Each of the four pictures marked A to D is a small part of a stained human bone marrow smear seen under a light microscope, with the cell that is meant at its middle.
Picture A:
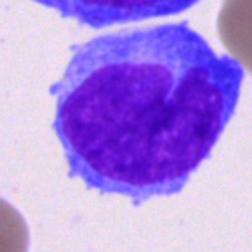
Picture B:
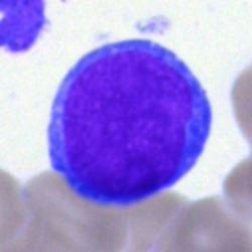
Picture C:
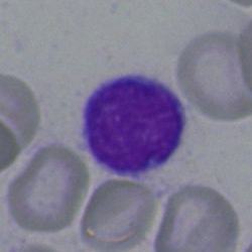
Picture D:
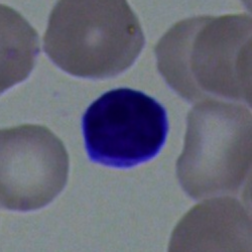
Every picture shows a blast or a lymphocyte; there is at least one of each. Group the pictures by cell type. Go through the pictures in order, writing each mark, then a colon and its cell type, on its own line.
A: blast
B: blast
C: lymphocyte
D: lymphocyte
